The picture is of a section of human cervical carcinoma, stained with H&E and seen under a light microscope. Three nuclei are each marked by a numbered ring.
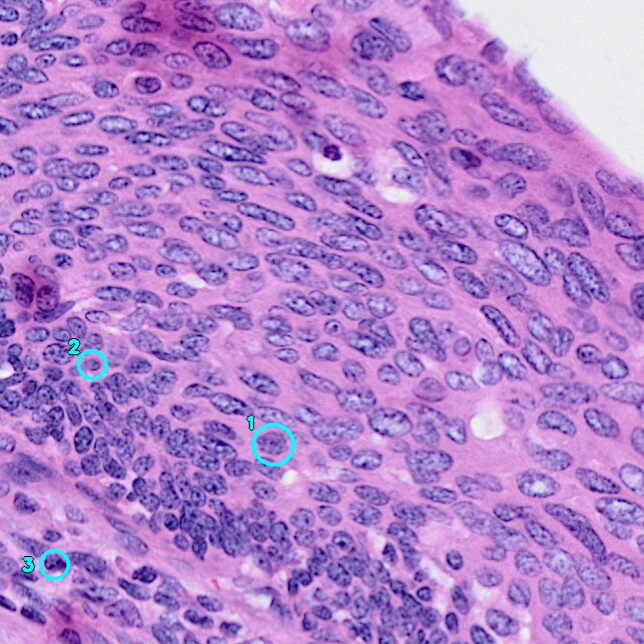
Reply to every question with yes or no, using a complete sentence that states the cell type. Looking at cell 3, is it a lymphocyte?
Yes, the nucleus numbered 3 belongs to a lymphocyte.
